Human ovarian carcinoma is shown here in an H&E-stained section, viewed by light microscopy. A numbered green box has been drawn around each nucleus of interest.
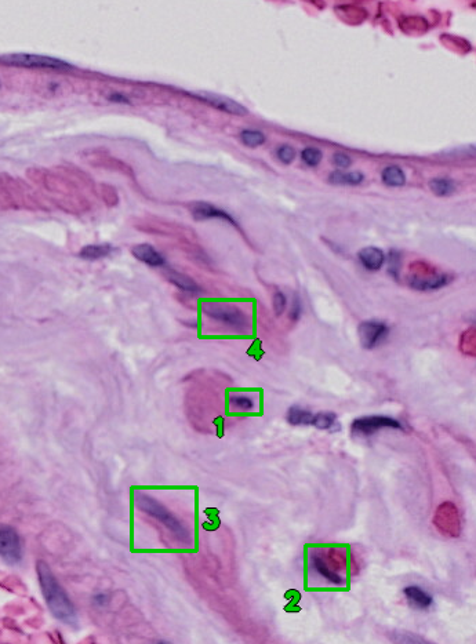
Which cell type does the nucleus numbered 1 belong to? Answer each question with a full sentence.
Among the marked cells, number 1 is a smooth muscle cell.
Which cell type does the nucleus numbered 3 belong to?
Heads up, the cell numbered 3 is a smooth muscle cell.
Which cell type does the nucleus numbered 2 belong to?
Identified as an endothelial cell is the cell bearing the number 2.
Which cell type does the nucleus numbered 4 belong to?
Cell 4 should be recorded as a smooth muscle cell.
